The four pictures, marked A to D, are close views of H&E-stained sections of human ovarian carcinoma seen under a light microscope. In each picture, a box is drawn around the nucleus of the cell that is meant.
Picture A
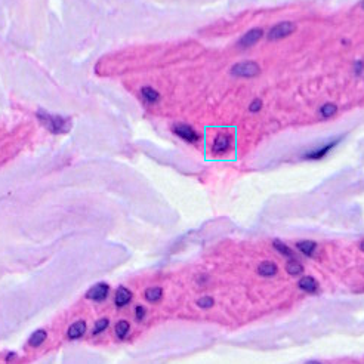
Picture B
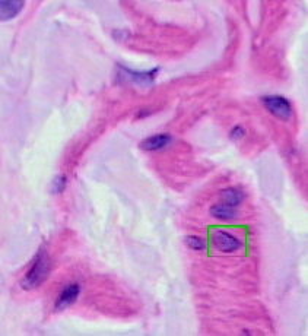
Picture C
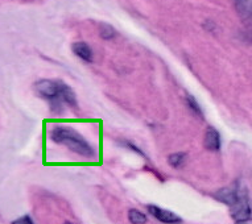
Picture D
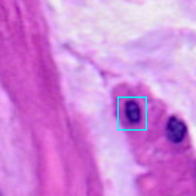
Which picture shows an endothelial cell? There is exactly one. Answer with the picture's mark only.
C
